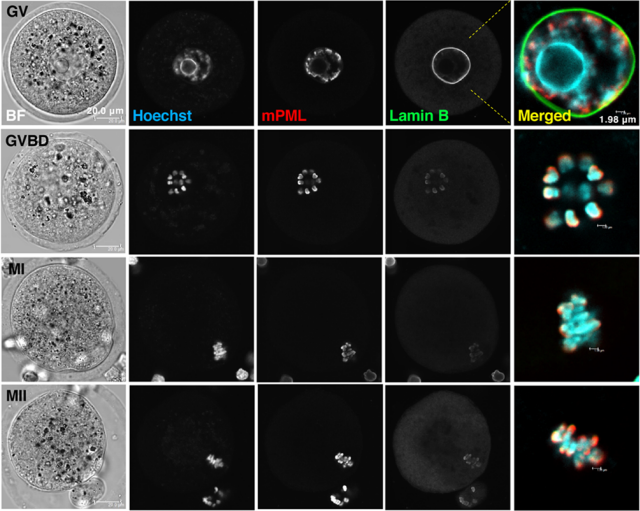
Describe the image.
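In the top row a large round nucleus sits in a granular cytoplasm; a continuous green ring outlines it, and blue chromatin forms a rim around a central round body, with red spots along the chromatin. In the following rows the green ring is gone and the chromatin gathers into a small compact cluster of condensed chromosomes, with red signal capping their ends. In the last row two chromosome clusters lie apart, one near a small cell pressed against the oocyte surface.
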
